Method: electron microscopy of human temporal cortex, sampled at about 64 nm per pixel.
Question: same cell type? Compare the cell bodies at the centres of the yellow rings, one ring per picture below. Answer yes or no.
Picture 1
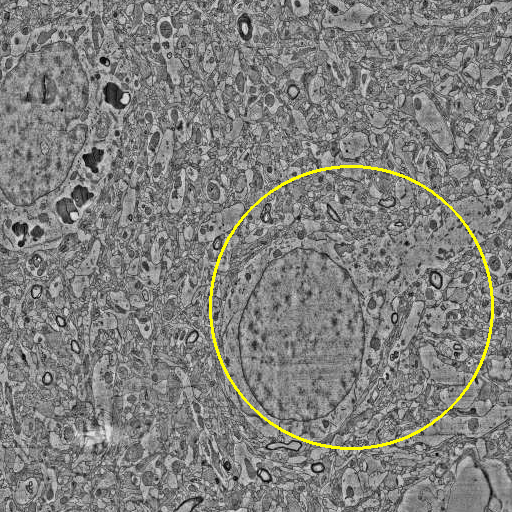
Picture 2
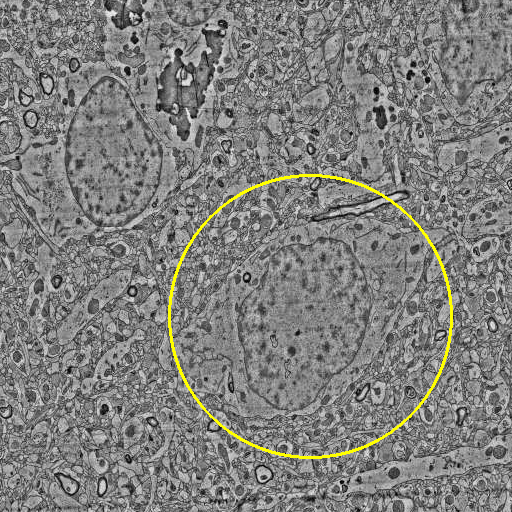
no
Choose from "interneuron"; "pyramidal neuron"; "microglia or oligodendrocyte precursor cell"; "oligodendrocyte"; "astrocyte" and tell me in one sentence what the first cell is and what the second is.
What the first ring is centred on is a pyramidal neuron; what the second ring is centred on is an interneuron.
